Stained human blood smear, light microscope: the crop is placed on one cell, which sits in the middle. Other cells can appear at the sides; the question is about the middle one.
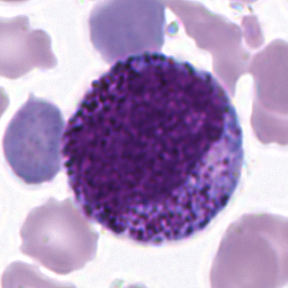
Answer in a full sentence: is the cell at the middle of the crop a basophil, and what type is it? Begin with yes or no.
No, rather than being a basophil, the central cell is a promyelocyte.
